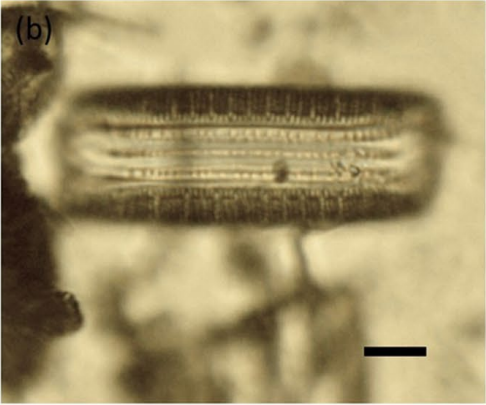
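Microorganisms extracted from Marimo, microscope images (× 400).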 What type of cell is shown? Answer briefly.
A: Pennate species of diatom in girdle view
